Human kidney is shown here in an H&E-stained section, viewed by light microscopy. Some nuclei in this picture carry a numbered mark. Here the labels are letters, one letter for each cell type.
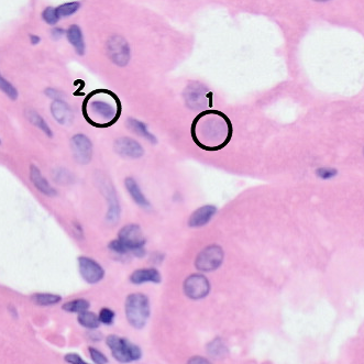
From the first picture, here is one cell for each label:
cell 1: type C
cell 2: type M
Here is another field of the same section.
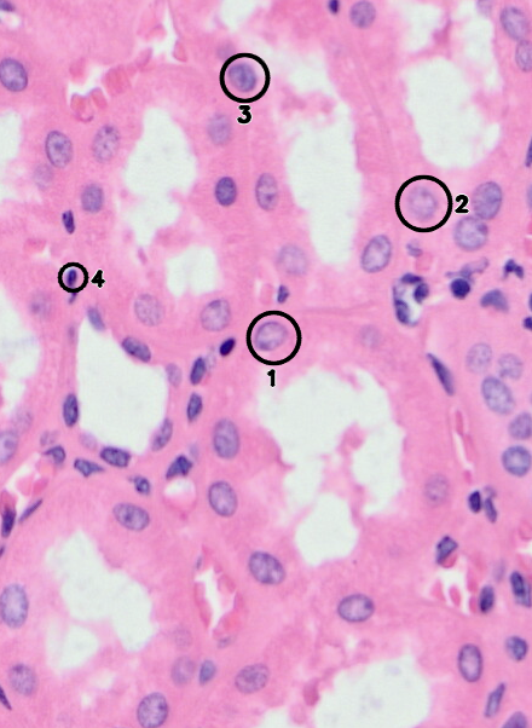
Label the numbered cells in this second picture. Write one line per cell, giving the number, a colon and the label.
1: type C
2: type C
3: type C
4: type M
